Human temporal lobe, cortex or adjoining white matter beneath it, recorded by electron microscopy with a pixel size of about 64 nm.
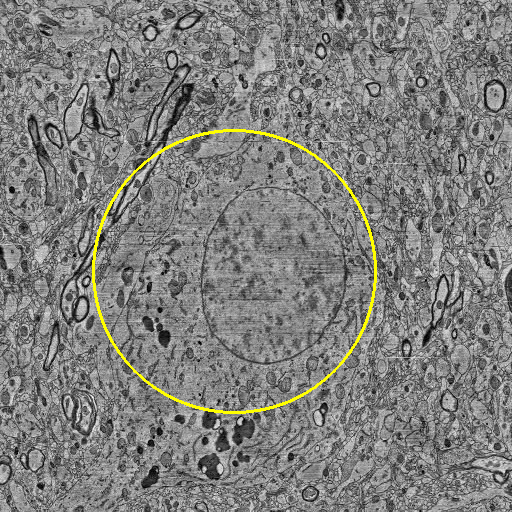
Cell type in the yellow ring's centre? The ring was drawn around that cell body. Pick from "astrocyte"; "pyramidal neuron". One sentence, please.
The ringed cell body is that of a pyramidal neuron.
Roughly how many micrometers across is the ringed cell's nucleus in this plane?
The ringed cell's nucleus measures approximately 12 by 9 micrometres in this plane.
